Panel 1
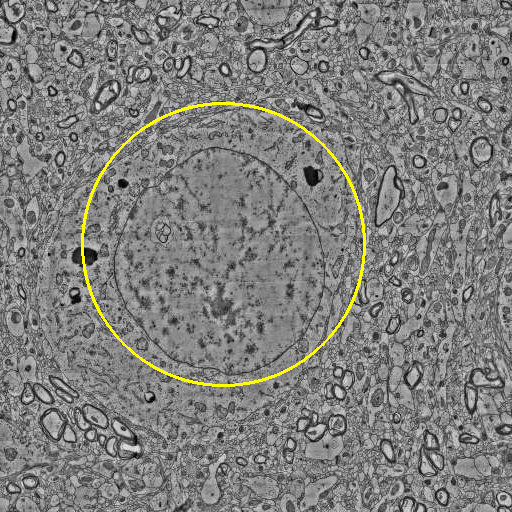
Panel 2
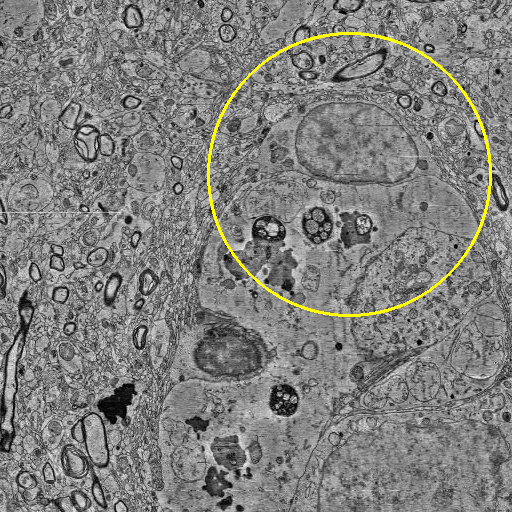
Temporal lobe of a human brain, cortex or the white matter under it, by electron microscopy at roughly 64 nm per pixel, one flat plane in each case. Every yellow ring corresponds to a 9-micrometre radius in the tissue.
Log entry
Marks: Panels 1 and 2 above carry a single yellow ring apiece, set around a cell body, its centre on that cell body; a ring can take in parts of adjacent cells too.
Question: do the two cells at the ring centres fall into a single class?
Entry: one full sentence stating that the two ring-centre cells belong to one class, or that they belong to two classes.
The two ring-centre cells in Panels 1 and 2 belong to two classes.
